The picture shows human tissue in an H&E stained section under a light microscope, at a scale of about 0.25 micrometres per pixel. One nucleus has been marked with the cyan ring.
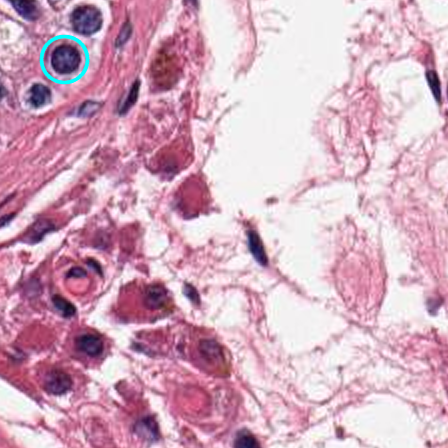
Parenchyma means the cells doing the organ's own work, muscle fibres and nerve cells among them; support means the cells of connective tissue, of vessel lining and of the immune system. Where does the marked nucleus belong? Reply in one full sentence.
In the tissue shown, the marked nucleus is that of a spermatogonium, a parenchymal cell.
